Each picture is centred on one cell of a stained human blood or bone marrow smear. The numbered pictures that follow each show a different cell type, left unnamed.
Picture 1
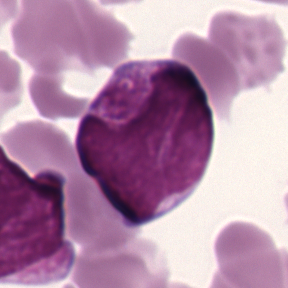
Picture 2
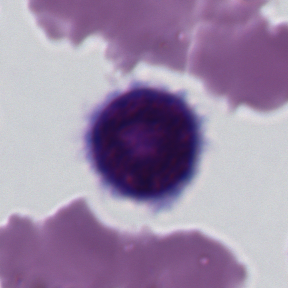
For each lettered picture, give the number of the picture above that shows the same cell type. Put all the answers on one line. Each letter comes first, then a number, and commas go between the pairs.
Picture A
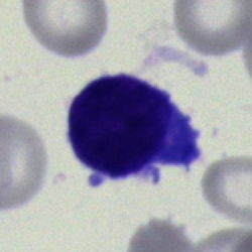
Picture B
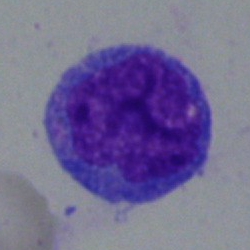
A 1, B 1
